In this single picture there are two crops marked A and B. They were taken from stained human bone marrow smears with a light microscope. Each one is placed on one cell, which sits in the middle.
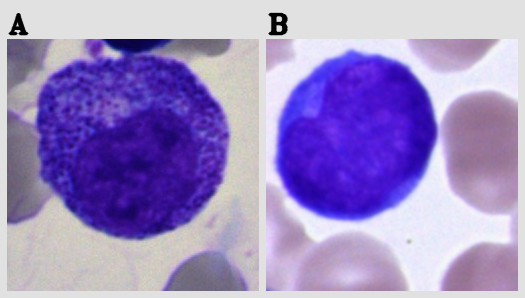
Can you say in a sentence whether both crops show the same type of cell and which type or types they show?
No, it is crop A that shows a promyelocyte, and crop B that shows a blast.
